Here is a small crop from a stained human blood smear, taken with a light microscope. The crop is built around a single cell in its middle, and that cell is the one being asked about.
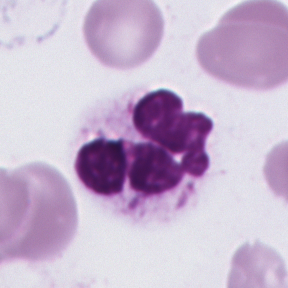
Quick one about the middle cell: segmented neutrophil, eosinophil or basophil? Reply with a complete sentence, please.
The middle position in this crop is taken by a segmented neutrophil.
